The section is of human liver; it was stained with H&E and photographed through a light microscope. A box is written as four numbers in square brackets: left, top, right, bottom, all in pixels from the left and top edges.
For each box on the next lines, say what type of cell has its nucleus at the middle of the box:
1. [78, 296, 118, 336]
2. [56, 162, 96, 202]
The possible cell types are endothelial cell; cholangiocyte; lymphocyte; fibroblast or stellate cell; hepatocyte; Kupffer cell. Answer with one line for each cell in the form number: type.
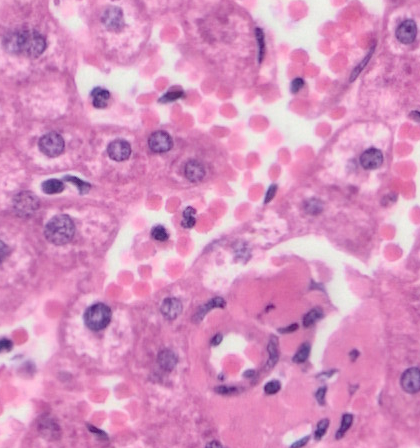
1: hepatocyte
2: endothelial cell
